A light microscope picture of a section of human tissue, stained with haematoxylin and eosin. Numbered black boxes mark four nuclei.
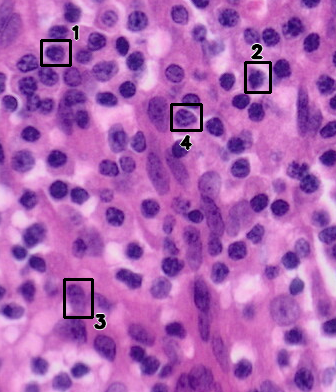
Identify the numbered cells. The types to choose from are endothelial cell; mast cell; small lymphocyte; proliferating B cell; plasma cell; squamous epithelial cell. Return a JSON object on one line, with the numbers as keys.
{"1": "plasma cell", "2": "plasma cell", "3": "squamous epithelial cell", "4": "plasma cell"}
